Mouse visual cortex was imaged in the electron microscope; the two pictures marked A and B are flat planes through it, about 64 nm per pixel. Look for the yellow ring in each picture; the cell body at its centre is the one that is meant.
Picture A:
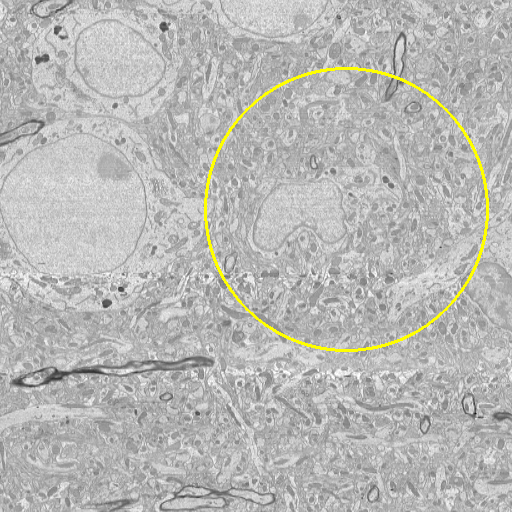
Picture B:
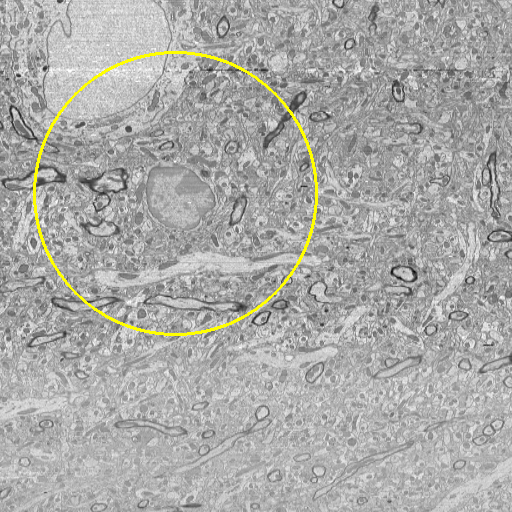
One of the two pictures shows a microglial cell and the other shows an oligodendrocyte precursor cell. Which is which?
Picture A shows an oligodendrocyte precursor cell and picture B shows a microglial cell.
